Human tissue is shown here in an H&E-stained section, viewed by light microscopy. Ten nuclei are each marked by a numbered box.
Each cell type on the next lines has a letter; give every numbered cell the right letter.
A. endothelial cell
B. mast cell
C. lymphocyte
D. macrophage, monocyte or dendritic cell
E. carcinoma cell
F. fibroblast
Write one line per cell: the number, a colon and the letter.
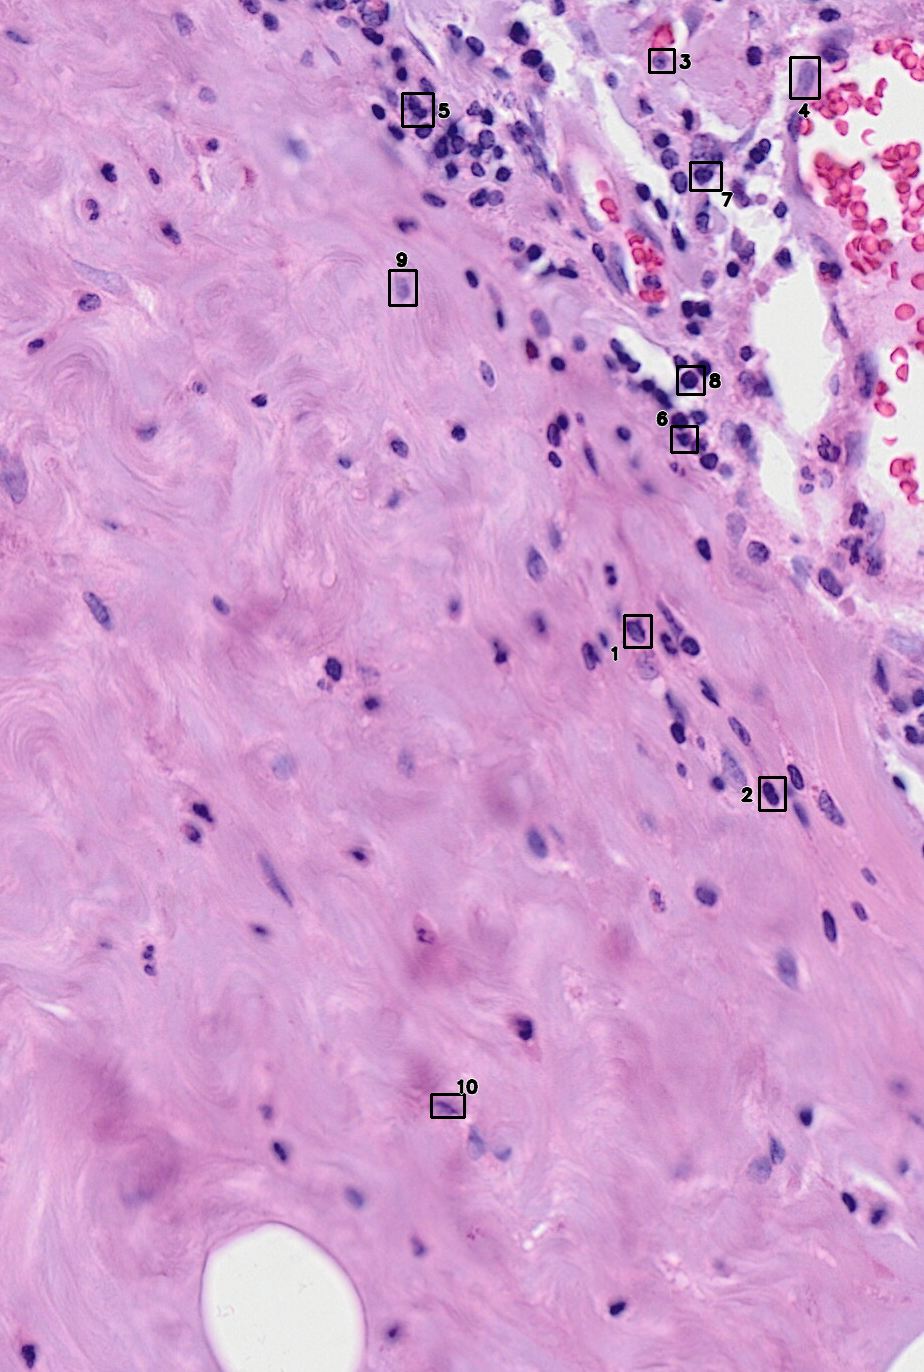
1: C
2: C
3: A
4: A
5: C
6: C
7: C
8: C
9: F
10: F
